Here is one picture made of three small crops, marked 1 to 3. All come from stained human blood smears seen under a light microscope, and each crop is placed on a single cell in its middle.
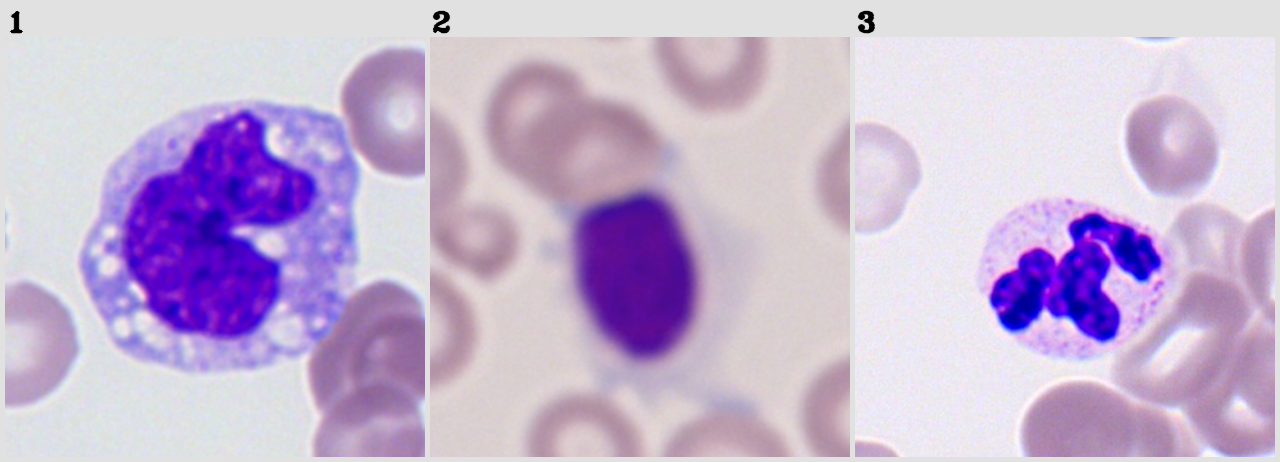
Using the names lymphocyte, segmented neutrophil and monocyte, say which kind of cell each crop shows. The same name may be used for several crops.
1: monocyte
2: lymphocyte
3: segmented neutrophil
